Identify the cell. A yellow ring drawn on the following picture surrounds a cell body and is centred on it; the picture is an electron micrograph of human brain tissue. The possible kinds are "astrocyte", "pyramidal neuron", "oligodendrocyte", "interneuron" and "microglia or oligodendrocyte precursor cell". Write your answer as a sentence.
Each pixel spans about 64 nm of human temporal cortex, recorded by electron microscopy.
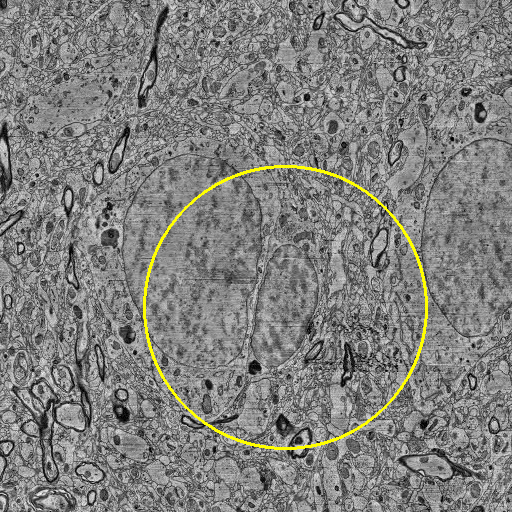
The cell identified by the ring is an oligodendrocyte.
